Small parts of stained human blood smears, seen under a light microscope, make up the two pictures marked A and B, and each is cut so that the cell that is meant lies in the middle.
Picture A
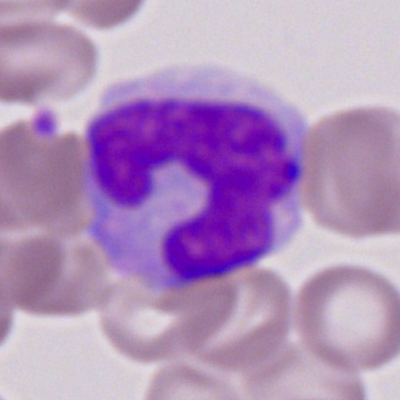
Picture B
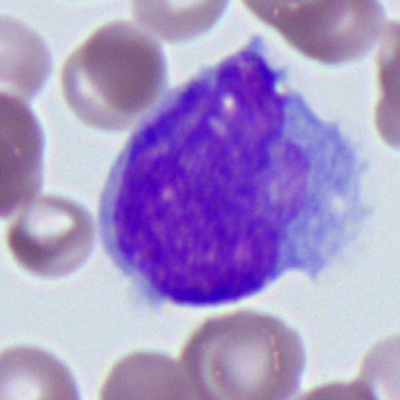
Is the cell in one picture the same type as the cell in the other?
yes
